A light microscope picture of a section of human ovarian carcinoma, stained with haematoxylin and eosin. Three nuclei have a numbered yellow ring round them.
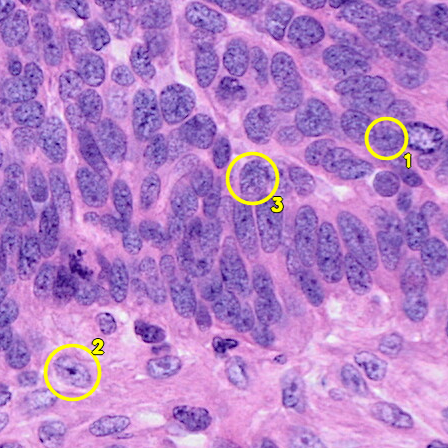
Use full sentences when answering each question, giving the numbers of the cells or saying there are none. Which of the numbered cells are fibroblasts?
Cell 2 is the only numbered cell that is a fibroblast.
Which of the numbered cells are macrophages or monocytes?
The numbered cells and the macrophages or monocytes have no member in common.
